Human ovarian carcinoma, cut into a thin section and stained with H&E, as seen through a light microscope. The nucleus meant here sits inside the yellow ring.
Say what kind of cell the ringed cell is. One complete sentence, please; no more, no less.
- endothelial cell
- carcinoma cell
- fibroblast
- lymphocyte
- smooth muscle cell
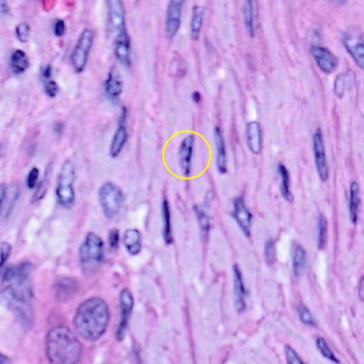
Considered by cell type, the ringed cell is a fibroblast.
